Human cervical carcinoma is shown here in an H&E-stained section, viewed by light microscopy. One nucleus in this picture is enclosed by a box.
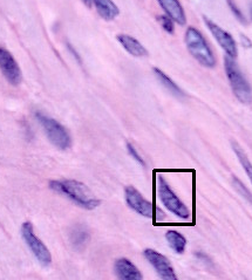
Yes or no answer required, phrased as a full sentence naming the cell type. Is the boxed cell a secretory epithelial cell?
No, by cell type the boxed cell is a fibroblast, not a secretory epithelial cell.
